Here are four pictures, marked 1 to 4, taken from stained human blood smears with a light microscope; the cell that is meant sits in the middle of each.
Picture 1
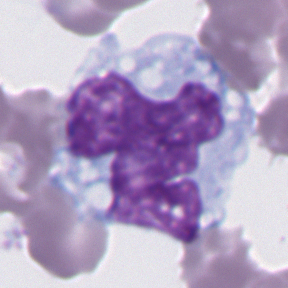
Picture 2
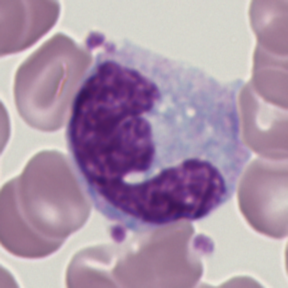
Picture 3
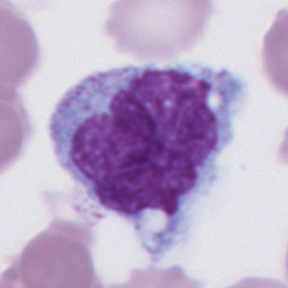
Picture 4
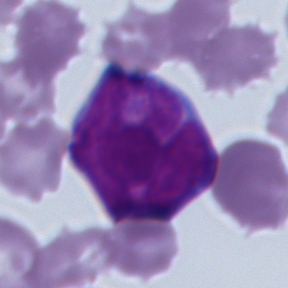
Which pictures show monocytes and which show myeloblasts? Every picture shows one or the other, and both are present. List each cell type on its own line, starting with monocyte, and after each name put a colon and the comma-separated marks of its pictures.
monocyte: 1, 2, 3
myeloblast: 4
